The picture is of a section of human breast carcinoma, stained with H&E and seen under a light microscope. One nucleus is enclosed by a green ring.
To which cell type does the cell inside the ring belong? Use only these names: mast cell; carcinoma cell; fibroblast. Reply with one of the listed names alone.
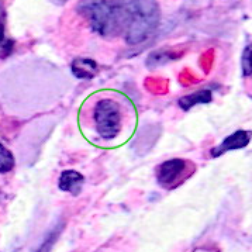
mast cell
